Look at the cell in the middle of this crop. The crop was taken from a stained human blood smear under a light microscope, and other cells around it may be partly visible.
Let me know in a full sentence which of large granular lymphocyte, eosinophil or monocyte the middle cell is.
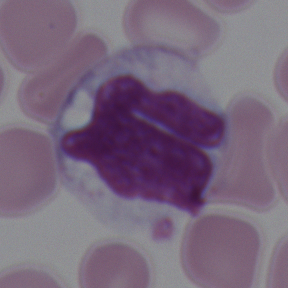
The crop shows a monocyte in its centre.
